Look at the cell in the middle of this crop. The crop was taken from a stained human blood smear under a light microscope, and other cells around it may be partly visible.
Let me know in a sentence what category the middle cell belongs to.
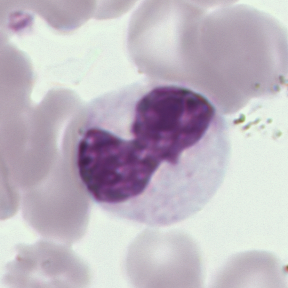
The cell of interest, in the center, is a band neutrophil.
